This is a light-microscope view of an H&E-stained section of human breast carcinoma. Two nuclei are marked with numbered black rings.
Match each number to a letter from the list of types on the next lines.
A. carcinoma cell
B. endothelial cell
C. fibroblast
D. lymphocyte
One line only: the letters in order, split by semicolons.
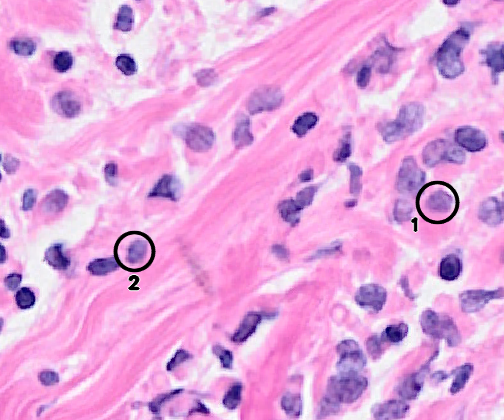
A; D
